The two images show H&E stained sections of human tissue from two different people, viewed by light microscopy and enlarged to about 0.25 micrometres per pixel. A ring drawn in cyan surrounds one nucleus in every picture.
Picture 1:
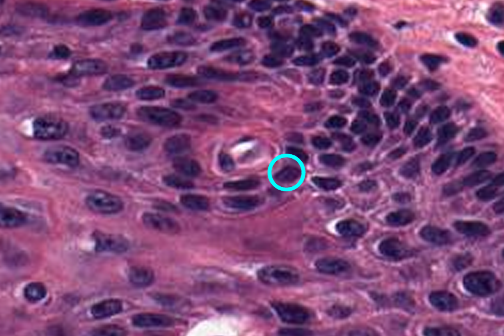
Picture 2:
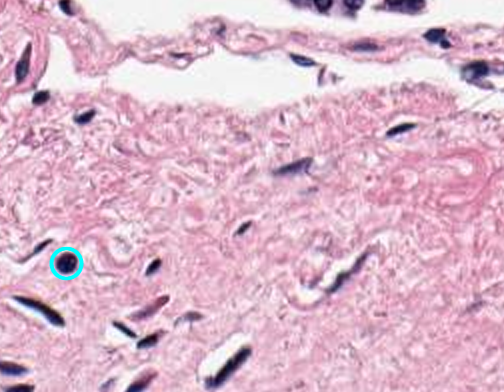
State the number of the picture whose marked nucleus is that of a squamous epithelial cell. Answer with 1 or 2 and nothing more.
1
